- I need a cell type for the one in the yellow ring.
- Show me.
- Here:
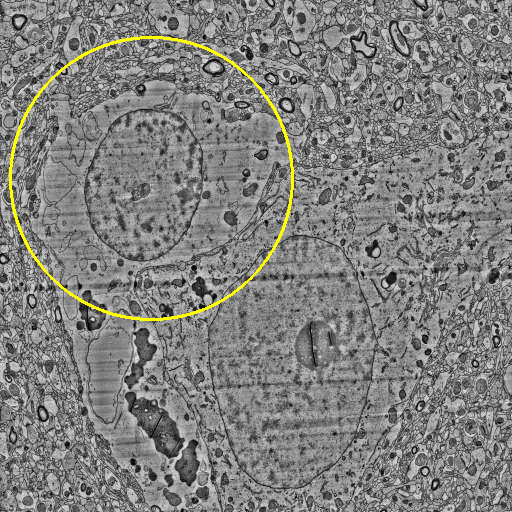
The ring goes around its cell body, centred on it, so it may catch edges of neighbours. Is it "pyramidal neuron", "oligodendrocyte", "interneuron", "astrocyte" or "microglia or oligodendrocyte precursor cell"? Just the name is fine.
astrocyte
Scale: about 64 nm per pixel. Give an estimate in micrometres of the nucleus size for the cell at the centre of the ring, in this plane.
About 10 by 7 micrometers, in this plane.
